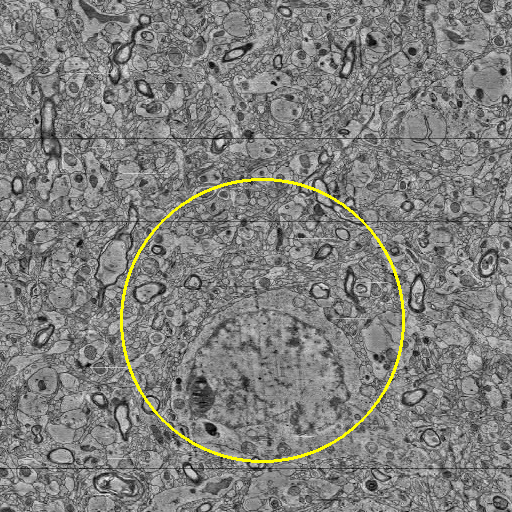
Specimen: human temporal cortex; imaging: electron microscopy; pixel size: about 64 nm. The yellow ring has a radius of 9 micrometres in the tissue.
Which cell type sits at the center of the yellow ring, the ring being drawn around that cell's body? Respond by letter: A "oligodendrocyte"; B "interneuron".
B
